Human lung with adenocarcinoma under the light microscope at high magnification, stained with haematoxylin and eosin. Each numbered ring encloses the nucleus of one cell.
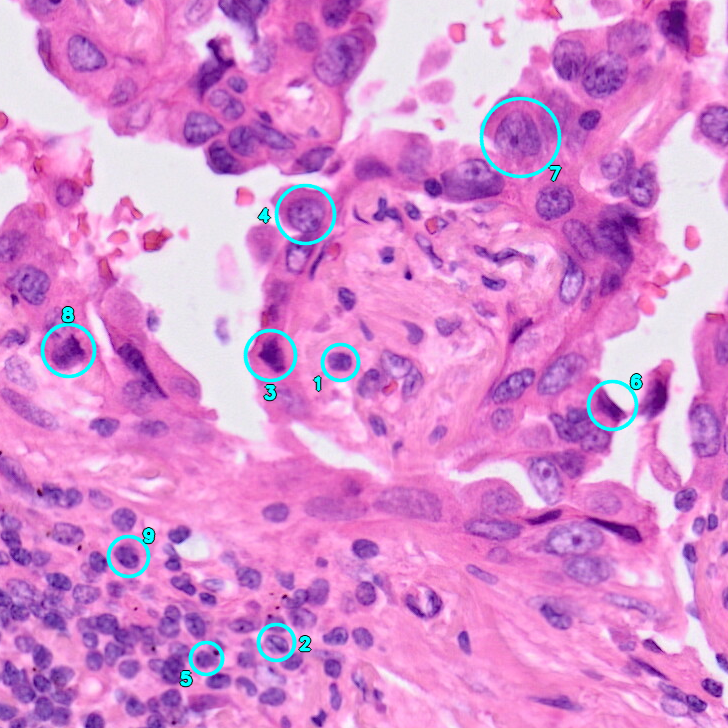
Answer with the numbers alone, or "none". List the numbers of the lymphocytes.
1, 2, 5, 9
